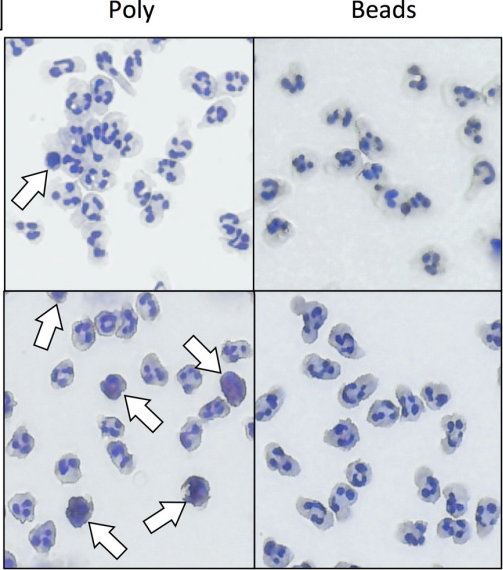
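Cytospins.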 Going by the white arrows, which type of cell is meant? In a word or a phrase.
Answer: Non-neutrophil cells.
